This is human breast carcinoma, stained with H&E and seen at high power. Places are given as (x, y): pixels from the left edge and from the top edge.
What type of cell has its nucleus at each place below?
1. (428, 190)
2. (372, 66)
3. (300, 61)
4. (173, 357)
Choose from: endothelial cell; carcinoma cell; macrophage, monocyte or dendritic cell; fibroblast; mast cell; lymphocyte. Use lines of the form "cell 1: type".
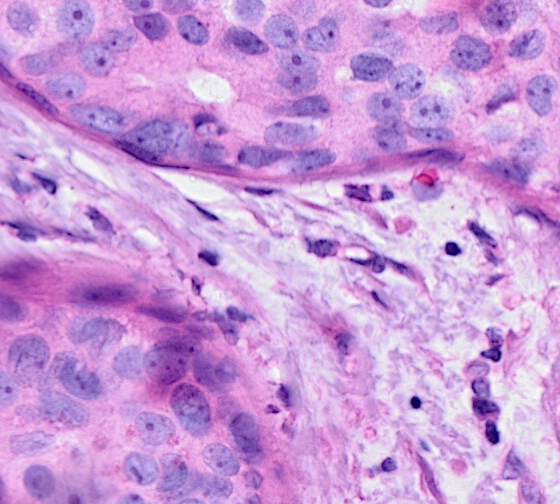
cell 1: endothelial cell
cell 2: carcinoma cell
cell 3: carcinoma cell
cell 4: carcinoma cell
